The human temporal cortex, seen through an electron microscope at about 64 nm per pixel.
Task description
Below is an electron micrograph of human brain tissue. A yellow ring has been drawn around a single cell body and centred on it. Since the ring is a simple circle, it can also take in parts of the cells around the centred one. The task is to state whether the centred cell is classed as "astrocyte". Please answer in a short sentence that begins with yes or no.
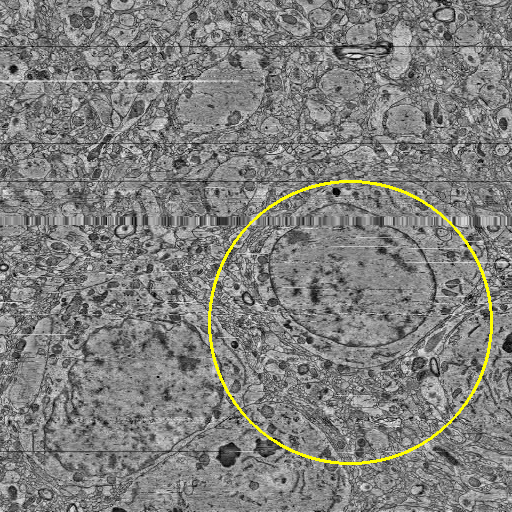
No, the centred cell is classed otherwise.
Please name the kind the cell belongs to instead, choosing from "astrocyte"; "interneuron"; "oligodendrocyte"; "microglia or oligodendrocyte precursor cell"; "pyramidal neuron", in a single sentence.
Instead, the cell inside the ring is a pyramidal neuron.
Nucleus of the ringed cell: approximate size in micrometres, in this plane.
In this plane, approximately 11 by 9 micrometers.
